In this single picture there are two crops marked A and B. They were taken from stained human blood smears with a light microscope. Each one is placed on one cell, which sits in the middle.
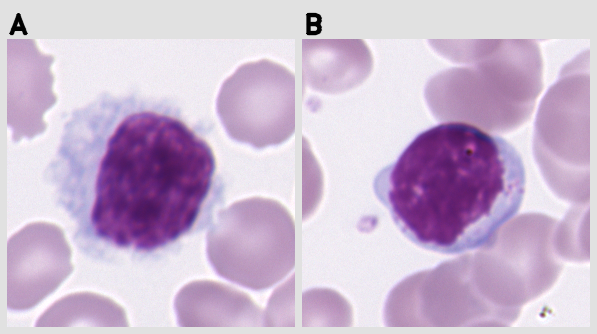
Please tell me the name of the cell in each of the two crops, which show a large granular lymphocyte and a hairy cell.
A: hairy cell
B: large granular lymphocyte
